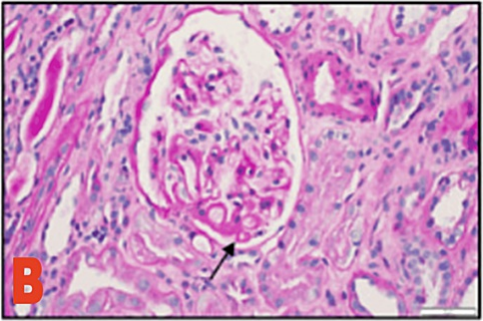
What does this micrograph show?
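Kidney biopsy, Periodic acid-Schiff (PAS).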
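Here a glomerulus is seen within its capsule, with the capsule and the capillary walls picked out in magenta. Part of the tuft shows markedly thickened, deep magenta capillary walls, while the neighbouring tubules show magenta basement membranes and the interstitium between them contains scattered blue nuclei.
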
